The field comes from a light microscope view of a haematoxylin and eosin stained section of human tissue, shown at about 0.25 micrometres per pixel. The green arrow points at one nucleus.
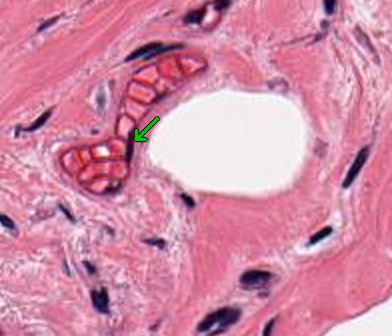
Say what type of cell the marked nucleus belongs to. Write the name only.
endothelial cell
